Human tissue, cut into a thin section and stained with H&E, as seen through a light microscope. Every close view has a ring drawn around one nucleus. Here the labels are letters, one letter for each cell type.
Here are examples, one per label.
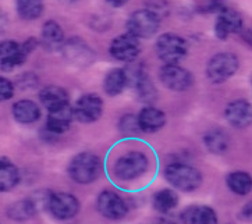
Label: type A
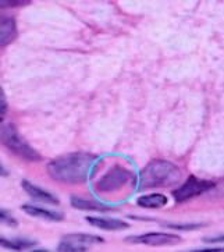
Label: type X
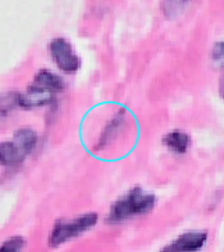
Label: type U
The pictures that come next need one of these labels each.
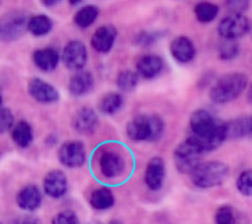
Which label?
type A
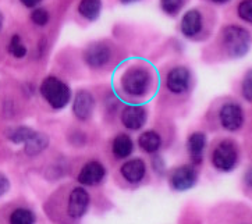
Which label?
type A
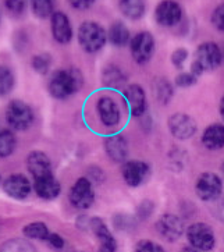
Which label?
type A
